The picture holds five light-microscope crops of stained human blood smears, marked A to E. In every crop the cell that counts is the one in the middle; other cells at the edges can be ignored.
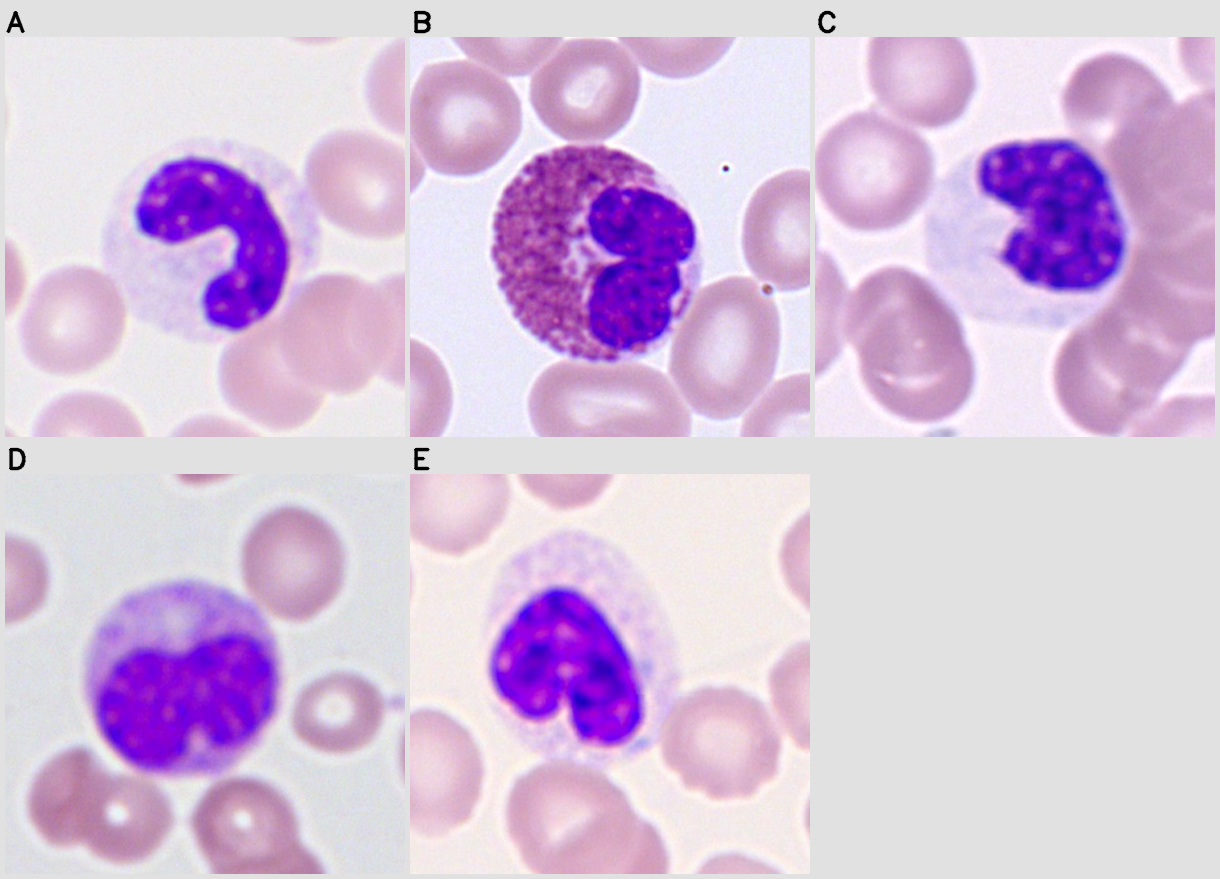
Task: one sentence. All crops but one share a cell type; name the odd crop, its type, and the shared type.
Crop B is different, showing an eosinophil, whereas all the others show band neutrophils.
